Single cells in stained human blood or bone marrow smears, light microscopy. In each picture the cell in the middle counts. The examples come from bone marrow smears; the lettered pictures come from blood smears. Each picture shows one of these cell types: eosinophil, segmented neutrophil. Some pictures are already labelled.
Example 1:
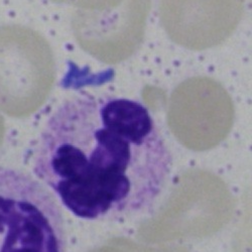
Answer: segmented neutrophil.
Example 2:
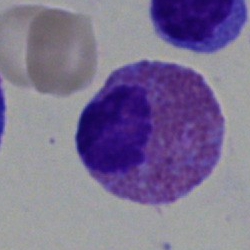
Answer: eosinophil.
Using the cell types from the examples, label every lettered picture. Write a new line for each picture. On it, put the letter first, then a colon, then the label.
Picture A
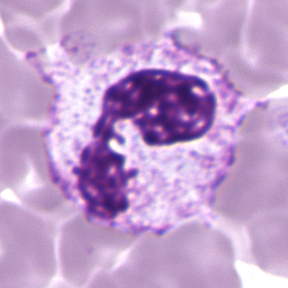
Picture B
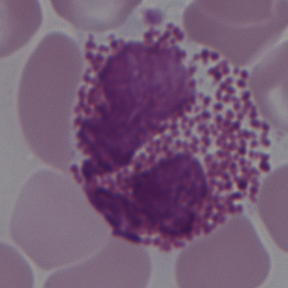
A: segmented neutrophil.
B: eosinophil.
